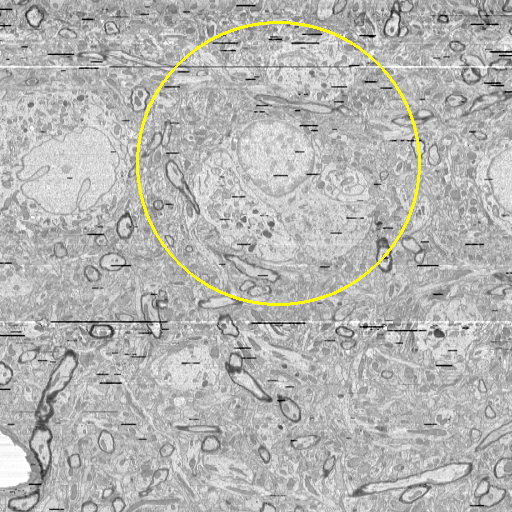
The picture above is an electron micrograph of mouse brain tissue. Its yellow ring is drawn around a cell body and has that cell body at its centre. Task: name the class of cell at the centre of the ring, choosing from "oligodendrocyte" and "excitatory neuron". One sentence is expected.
The ring surrounds the body of an oligodendrocyte.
